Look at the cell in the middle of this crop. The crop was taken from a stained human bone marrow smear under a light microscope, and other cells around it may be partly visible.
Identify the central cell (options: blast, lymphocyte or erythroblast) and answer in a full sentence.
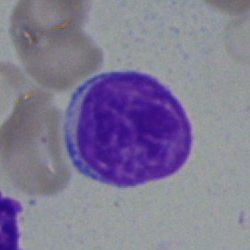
The cell at the centre of the field is a lymphocyte.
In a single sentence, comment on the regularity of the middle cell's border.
From every side, the cell boundary is smooth and free of projections.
